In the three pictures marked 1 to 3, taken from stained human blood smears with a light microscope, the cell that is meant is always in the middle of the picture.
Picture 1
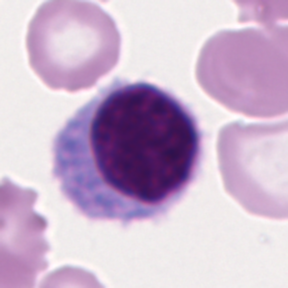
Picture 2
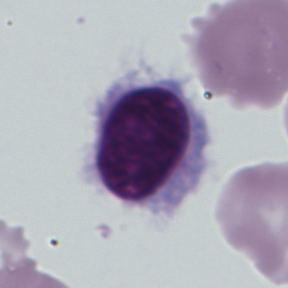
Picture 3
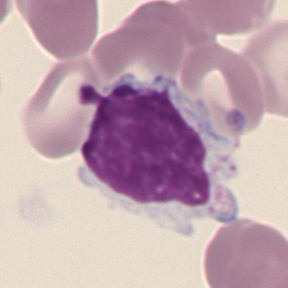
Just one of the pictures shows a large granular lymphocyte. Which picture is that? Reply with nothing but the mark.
3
